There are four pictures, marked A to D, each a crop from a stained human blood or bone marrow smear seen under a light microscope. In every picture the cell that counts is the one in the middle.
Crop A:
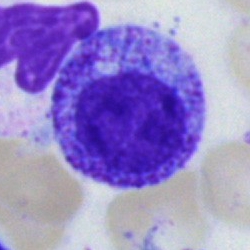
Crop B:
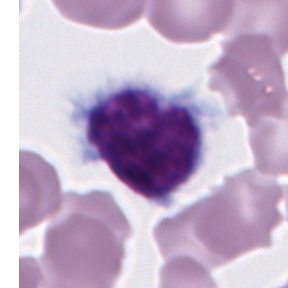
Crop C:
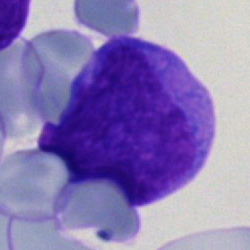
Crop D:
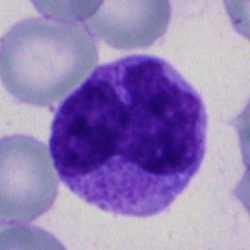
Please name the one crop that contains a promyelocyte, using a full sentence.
Crop A is identified as the crop showing a promyelocyte.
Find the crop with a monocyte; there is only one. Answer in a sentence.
The one that shows a monocyte is crop D.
